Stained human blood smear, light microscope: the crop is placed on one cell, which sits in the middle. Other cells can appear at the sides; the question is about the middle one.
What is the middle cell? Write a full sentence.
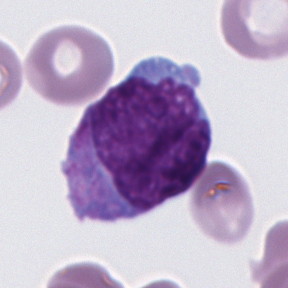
In this smear crop, the middle cell is an atypical promyelocyte.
